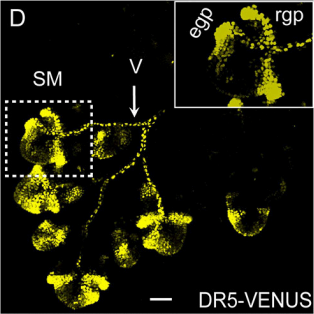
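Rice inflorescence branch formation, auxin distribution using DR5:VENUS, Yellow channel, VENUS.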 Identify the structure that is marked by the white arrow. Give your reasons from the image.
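Thin beaded lines of yellow signal run between the rounded meristems.
Presumptive vascular strands.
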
